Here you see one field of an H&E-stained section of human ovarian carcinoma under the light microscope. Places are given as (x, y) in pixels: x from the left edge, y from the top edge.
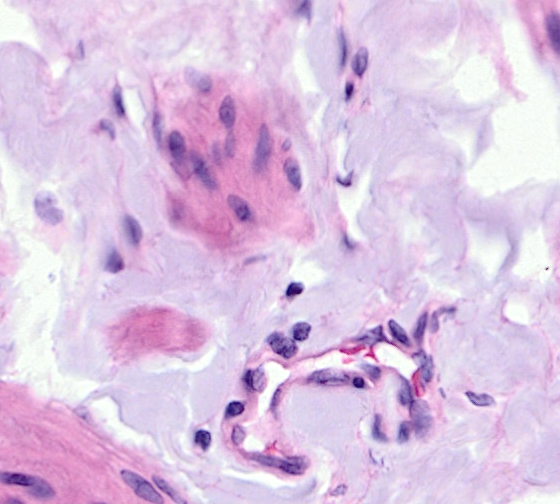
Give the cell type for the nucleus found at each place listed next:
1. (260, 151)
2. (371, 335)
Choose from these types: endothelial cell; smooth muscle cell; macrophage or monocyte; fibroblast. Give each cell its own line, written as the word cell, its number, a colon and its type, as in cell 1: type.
cell 1: smooth muscle cell
cell 2: endothelial cell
